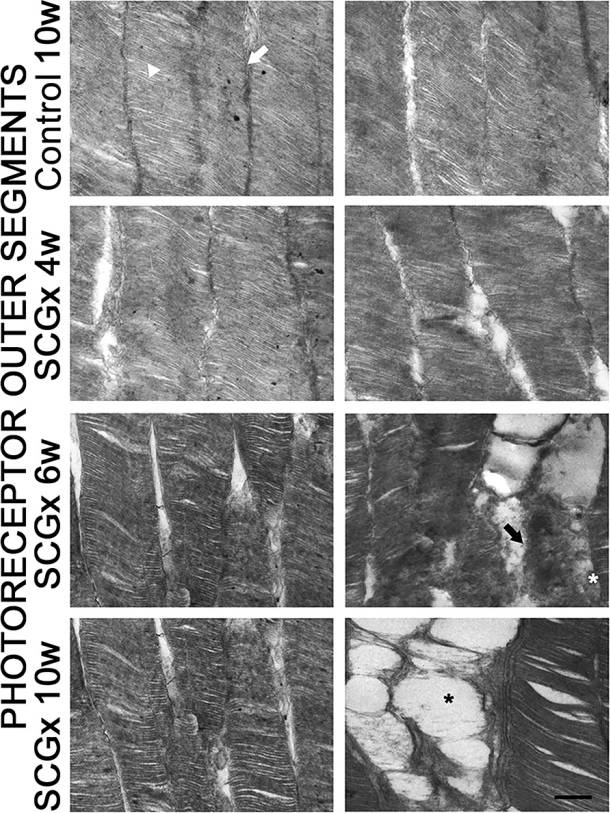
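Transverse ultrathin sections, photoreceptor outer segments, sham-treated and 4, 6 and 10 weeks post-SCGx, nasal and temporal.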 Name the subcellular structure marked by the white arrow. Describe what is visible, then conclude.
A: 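Plasmatic membrane. The white arrow points to a continuous dark line bordering an outer segment. The line runs alongside the striped disc stack.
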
